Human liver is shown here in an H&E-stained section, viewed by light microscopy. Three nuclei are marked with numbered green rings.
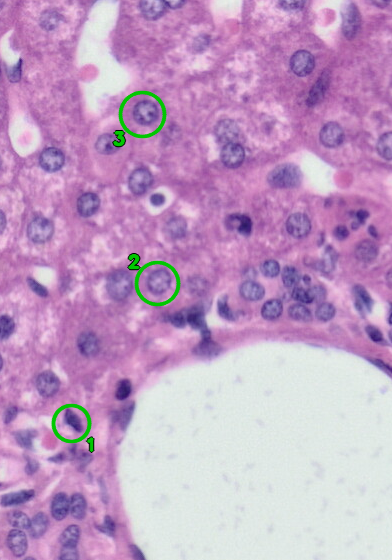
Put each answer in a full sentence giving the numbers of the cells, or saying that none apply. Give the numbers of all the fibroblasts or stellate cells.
Only the nucleus marked 1 is that of a fibroblast or stellate cell.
